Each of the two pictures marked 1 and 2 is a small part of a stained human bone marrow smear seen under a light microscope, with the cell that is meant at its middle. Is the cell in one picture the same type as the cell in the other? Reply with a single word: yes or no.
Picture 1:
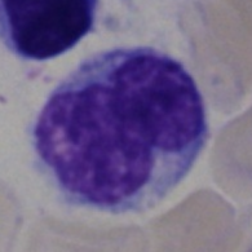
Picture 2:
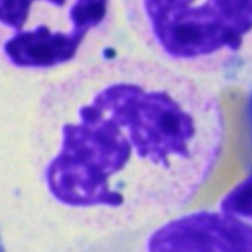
no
